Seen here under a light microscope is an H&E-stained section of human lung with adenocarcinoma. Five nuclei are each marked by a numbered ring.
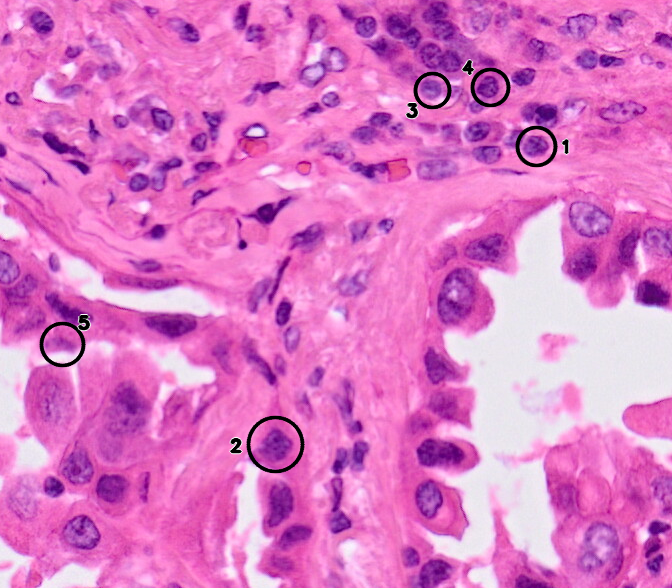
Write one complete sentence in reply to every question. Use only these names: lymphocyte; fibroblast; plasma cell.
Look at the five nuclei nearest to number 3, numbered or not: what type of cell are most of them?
Most of the five nuclei nearest to number 3 are those of plasma cells.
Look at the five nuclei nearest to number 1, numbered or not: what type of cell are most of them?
Of the five nuclei nearest to number 1, most belong to lymphocytes.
